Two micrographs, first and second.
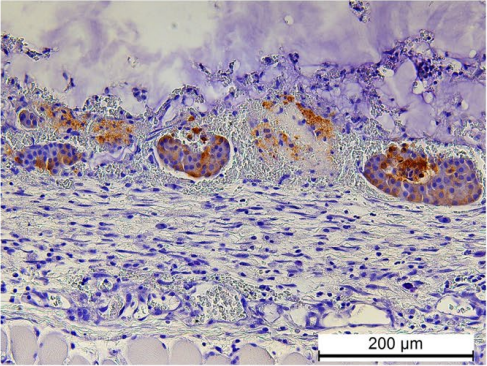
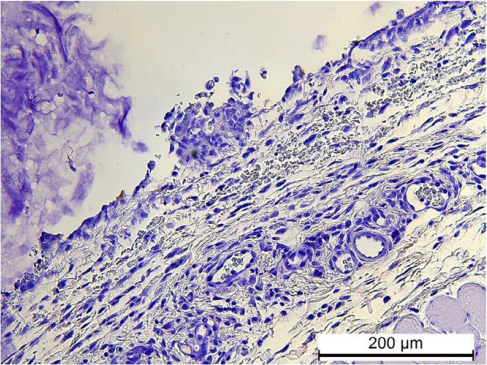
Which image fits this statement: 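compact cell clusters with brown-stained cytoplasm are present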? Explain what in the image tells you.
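The first image. First image: several rounded cell clusters near the surface show brown cytoplasmic staining.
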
